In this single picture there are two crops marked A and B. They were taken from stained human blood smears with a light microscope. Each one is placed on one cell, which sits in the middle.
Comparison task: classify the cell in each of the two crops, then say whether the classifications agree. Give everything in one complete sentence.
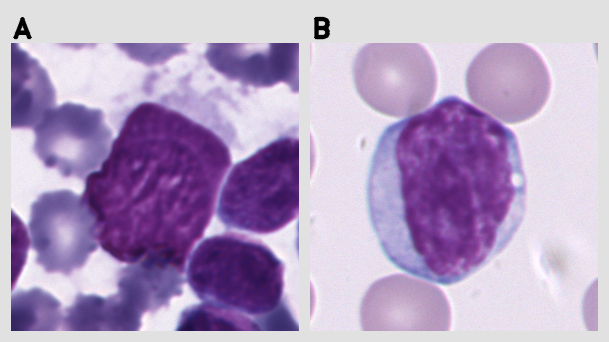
Yes, both crops have myeloblasts as their central cells.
